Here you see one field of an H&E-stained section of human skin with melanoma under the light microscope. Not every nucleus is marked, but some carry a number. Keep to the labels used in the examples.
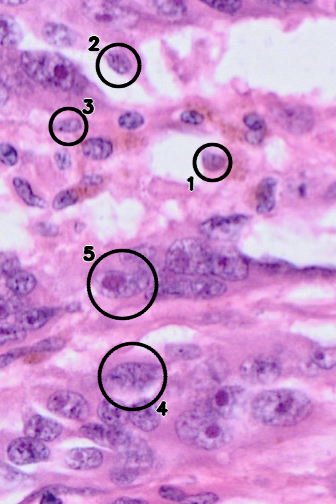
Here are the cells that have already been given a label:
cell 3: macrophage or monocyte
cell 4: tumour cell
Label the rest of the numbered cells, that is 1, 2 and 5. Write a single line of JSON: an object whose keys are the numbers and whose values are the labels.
{"1": "macrophage or monocyte", "2": "tumour cell", "5": "tumour cell"}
